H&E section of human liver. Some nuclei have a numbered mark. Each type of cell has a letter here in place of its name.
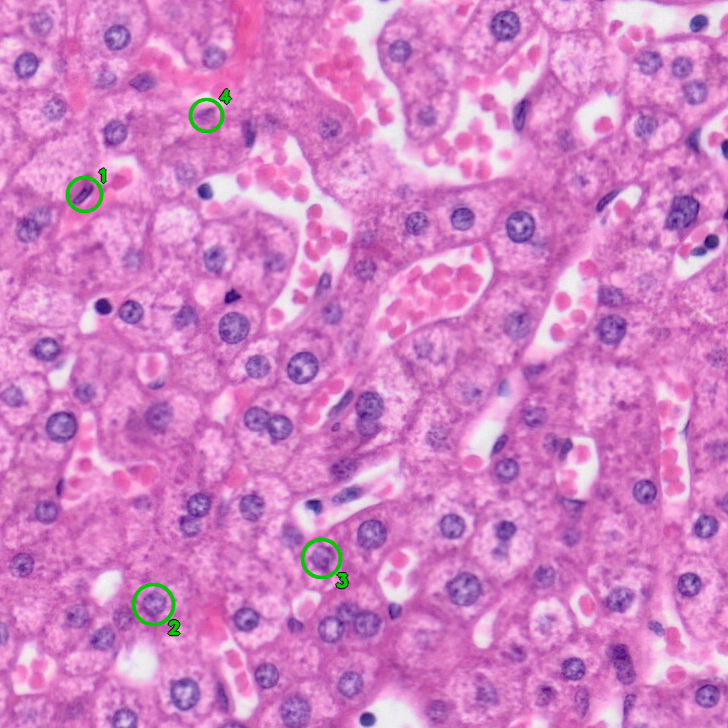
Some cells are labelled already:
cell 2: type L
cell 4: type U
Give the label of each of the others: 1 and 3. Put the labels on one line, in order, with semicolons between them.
type U; type L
